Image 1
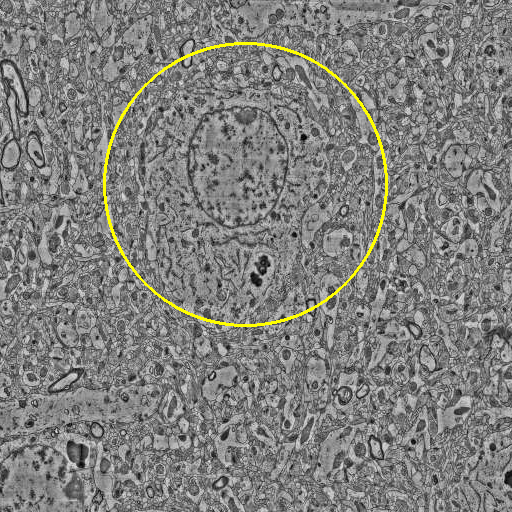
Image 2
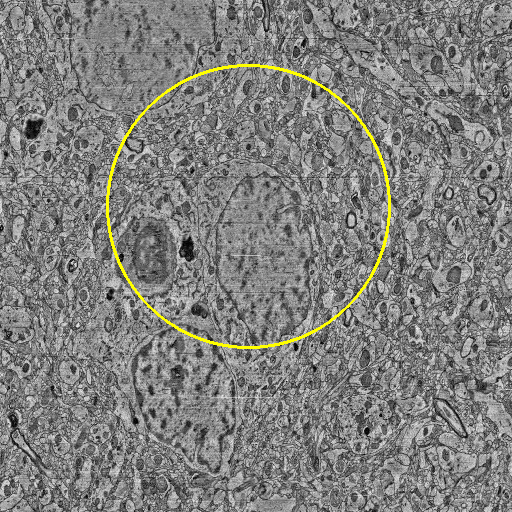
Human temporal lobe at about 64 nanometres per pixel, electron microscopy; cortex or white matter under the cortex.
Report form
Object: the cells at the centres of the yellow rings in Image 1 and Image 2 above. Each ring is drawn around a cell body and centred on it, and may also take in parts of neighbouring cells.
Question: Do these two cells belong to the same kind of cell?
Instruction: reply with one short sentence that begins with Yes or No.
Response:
No, they belong to two kinds of cell.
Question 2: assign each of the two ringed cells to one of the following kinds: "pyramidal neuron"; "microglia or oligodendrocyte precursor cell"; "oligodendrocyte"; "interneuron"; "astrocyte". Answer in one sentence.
The two cells are a pyramidal neuron in the first picture and an interneuron in the second.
